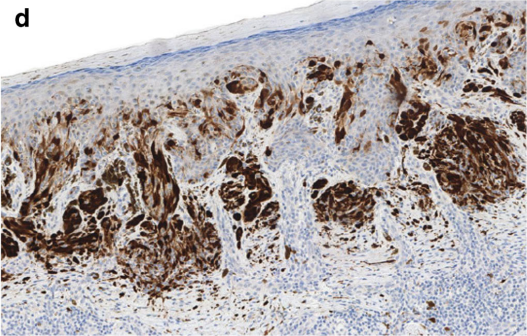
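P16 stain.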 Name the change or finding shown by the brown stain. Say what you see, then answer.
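Within the nests, strongly brown cells lie intermixed with paler cells. Staining is patchy rather than uniform across the lesion.
Conclusion: checkerboard pattern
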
